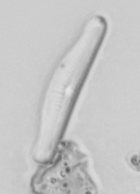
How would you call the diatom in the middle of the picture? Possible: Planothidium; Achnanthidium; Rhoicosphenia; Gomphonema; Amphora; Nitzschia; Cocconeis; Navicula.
I would call it Achnanthidium.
